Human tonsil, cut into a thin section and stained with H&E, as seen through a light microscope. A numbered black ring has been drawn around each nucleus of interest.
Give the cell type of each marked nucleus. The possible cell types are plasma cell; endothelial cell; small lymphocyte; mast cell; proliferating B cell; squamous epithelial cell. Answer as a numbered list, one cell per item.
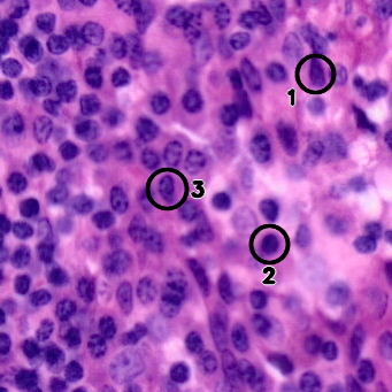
1. squamous epithelial cell
2. plasma cell
3. plasma cell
